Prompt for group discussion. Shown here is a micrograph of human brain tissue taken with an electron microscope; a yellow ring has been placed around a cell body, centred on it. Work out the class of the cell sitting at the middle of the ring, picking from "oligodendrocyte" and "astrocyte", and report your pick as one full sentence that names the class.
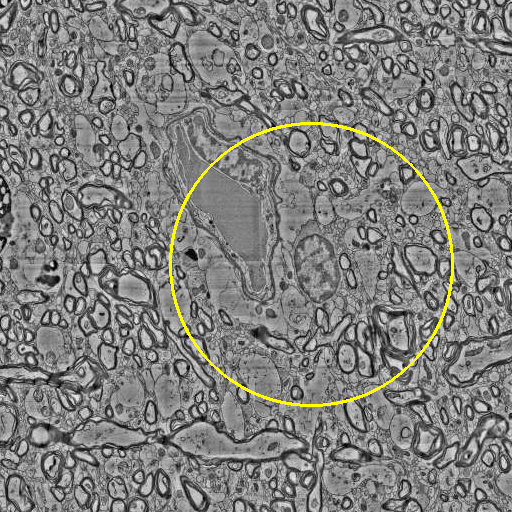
The cell sitting at the middle of the yellow ring is an oligodendrocyte.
